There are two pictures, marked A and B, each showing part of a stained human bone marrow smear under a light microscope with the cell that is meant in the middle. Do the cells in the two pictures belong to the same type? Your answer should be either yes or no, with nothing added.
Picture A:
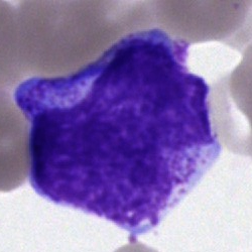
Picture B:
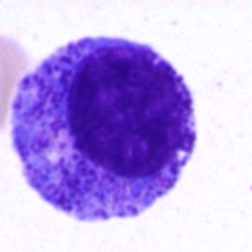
yes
